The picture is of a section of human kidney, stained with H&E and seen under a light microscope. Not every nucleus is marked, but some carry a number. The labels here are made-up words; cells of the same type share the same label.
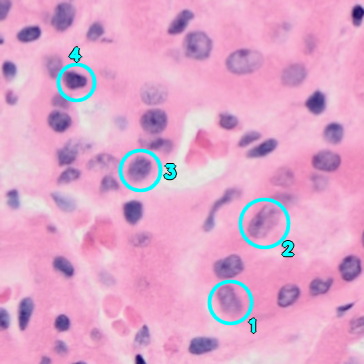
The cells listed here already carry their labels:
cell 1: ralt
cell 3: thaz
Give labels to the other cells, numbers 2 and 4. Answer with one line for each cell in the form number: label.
2: ralt
4: thaz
